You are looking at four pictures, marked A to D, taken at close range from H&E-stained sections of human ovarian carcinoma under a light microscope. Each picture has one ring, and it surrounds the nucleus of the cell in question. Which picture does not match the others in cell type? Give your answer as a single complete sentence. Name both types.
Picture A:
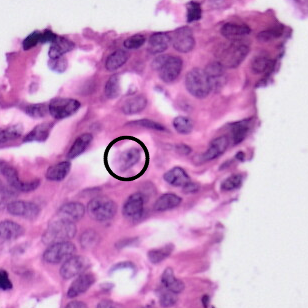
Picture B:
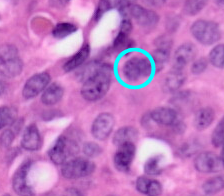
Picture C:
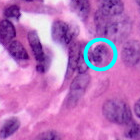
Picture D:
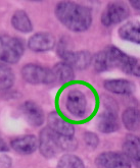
The others show “macrophages or monocytes”, but picture B shows a carcinoma cell.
